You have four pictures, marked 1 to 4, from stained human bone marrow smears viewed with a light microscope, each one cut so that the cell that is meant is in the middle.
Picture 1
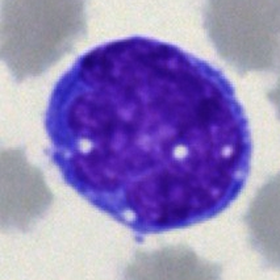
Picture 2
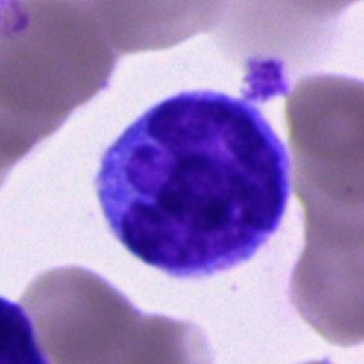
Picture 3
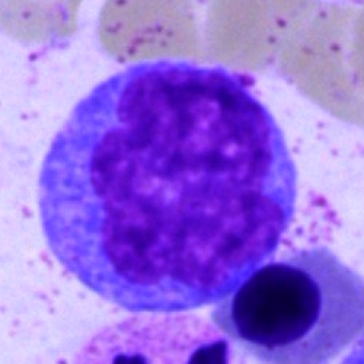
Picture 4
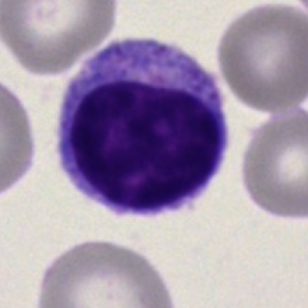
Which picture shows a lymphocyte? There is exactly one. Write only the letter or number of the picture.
4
